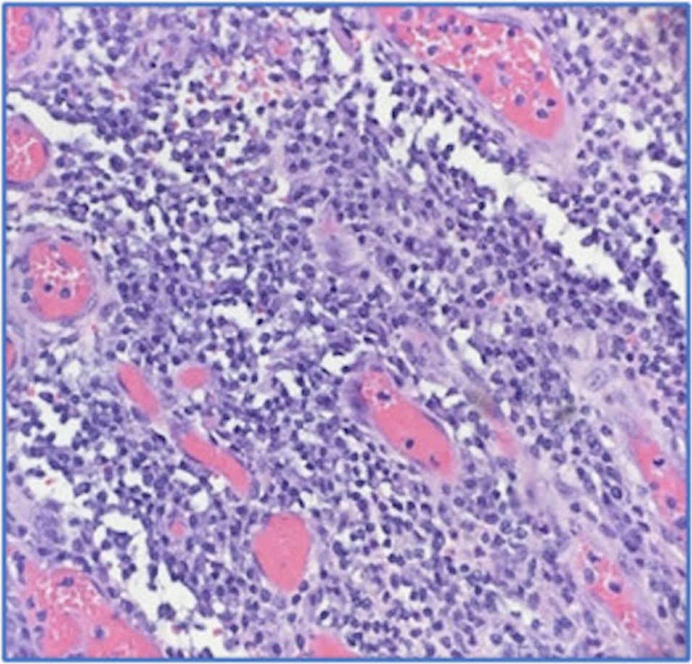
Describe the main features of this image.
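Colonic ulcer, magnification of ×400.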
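This field shows granulation tissue densely infiltrated by chronic inflammatory cells, many of them plasma cells. Small round cells with dark, round nuclei crowd the loose stroma. Many have the nucleus set to one side of a rim of purple cytoplasm. Some clear spaces and clefts separate groups of cells, suggesting oedema of the loose connective tissue. No glands or surface epithelium are present in this field.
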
